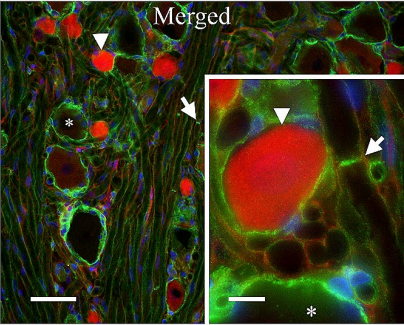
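This is ganglion tissue with large round neuron cell bodies lying among bundles of parallel nerve fibres. Each cell body is rimmed by a thin green envelope of satellite glial cells, whose blue nuclei sit flat against the neuron's edge. Some of the smaller neurons are filled with bright red, while larger neurons stay dark inside their green rims. Between the cell bodies the nerve fibres run in long streaks outlined by fine green lines.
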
